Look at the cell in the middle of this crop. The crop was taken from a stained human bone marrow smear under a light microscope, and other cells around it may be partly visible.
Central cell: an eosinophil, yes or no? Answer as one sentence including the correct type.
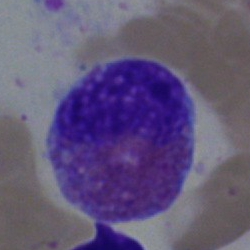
Yes, the cell at the middle of the field is to be classed as an eosinophil.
